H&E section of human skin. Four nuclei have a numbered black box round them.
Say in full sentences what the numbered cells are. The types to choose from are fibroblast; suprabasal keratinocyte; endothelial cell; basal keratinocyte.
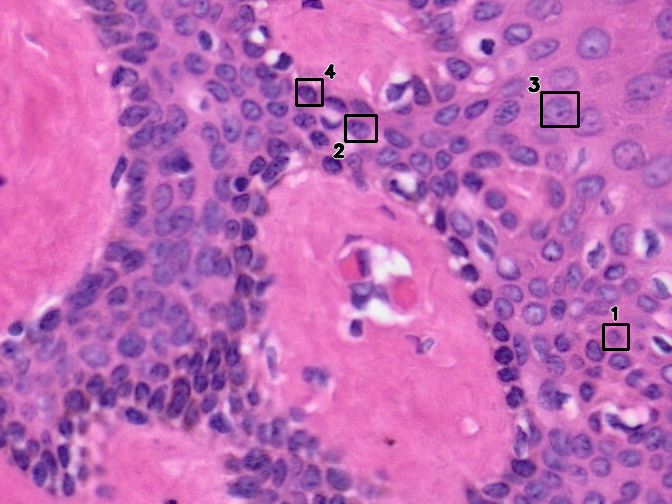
Cells 1, 2 and 4 are basal keratinocytes. Cell 3 is a suprabasal keratinocyte.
